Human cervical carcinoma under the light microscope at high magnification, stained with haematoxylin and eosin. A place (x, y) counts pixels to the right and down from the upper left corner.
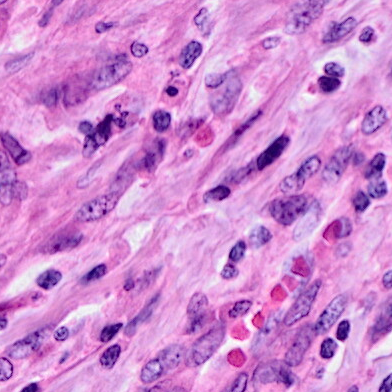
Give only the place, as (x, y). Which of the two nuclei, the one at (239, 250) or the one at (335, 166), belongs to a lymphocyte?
(239, 250)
